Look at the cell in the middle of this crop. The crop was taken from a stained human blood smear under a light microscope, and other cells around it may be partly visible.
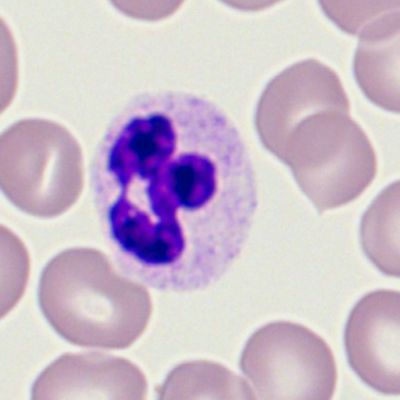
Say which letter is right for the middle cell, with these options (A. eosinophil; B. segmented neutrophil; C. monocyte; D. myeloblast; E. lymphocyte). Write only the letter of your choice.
B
